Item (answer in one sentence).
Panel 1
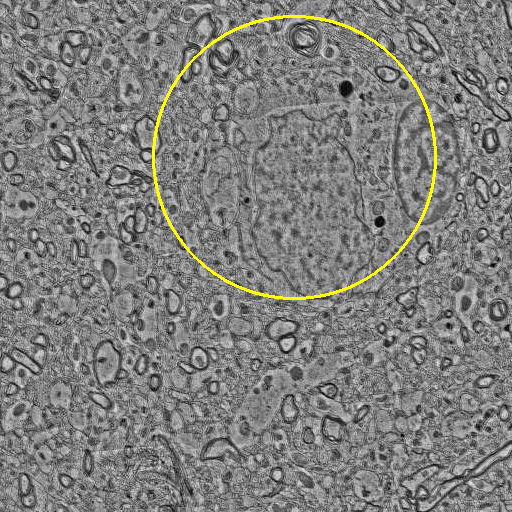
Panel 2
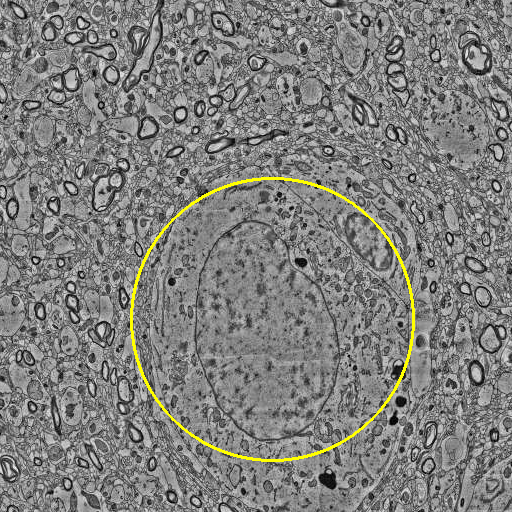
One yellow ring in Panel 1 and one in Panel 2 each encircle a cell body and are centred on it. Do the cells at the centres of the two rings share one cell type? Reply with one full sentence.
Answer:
Yes, Panel 1 and Panel 2 show cells of one type at the centres of their rings.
